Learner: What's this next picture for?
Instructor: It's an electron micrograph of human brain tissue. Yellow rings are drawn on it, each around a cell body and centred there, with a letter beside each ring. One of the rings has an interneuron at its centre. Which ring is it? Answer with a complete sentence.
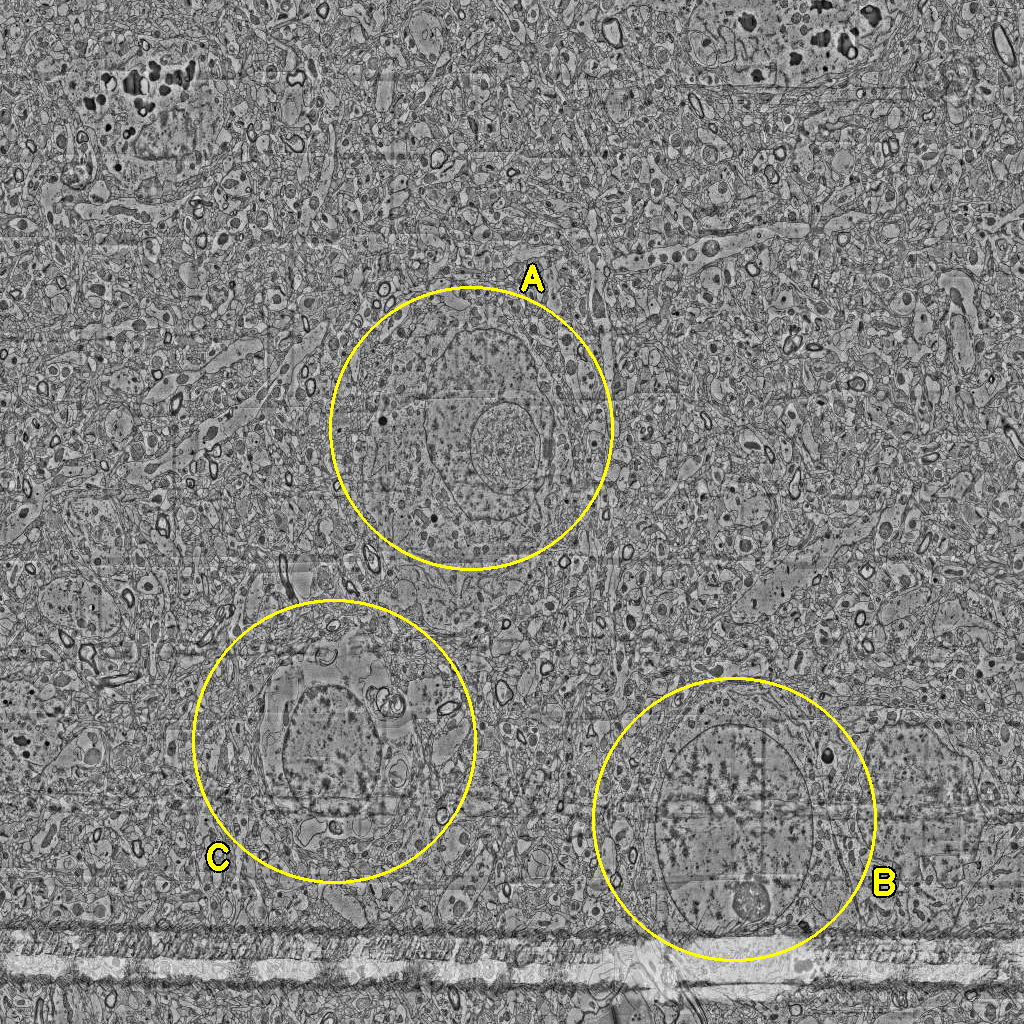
Ring A is centred on it.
